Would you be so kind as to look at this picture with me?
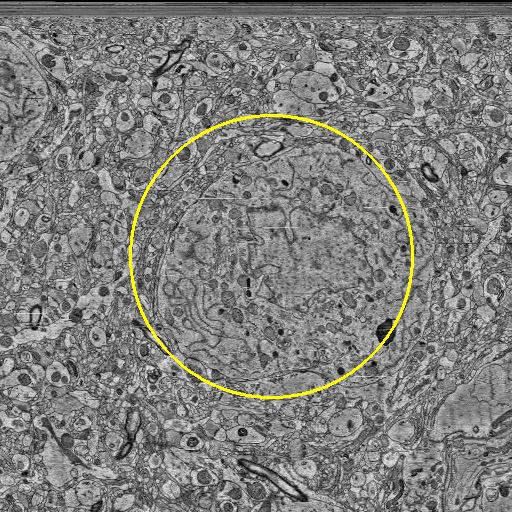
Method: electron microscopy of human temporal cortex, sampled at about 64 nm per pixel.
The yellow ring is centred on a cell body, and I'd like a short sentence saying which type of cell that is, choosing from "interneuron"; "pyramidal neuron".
The cell body in the ring belongs to an interneuron.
